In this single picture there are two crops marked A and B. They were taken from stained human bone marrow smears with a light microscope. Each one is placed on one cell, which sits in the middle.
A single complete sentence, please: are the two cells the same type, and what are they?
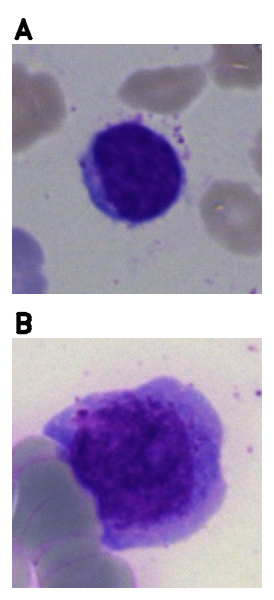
No, look again: crop A shows a lymphocyte, and crop B shows a blast.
